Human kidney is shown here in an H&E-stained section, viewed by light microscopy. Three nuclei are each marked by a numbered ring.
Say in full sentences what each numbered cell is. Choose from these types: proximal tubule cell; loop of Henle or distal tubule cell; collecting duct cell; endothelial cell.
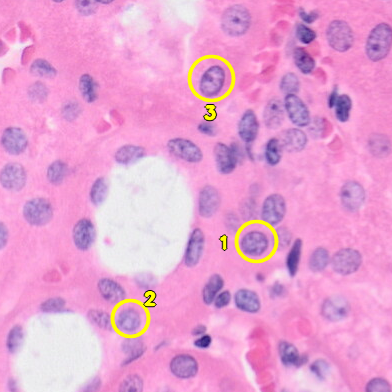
Cells 1 and 2 are collecting duct cells. Cell 3 is a proximal tubule cell.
